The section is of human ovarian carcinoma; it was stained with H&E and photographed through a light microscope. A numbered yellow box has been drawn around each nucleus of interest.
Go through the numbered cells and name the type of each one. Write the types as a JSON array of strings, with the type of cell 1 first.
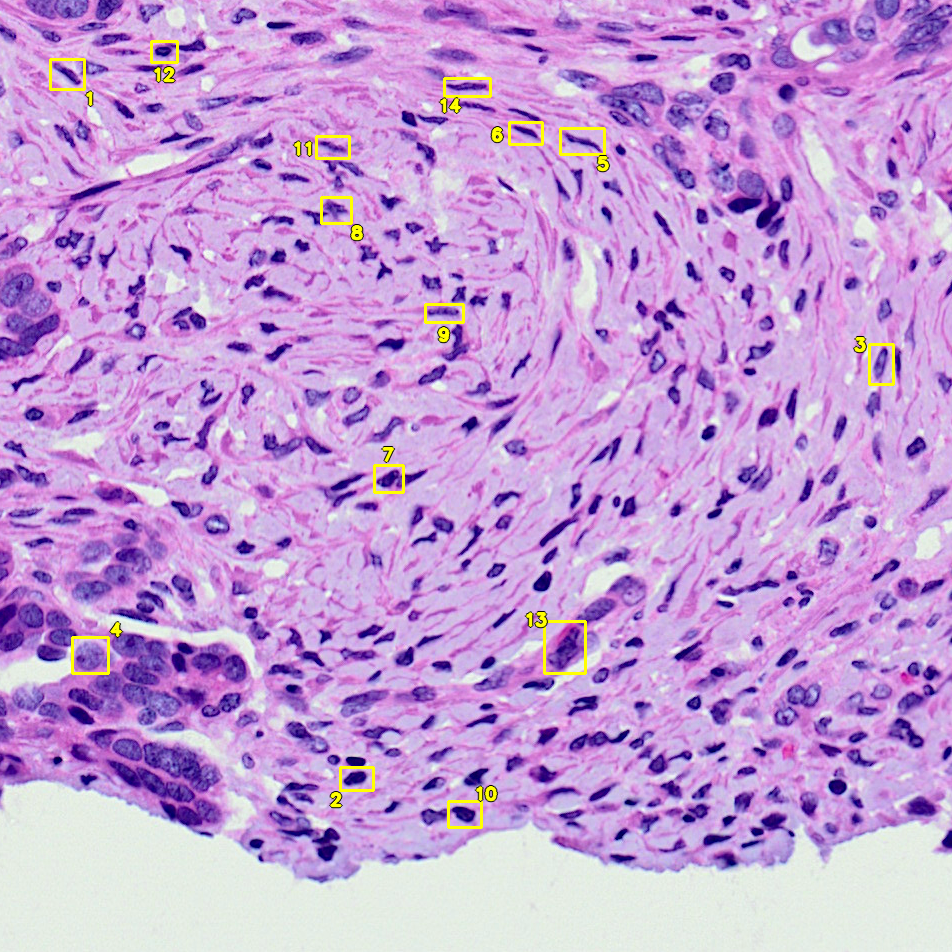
["fibroblast", "lymphocyte", "fibroblast", "carcinoma cell", "fibroblast", "fibroblast", "lymphocyte", "fibroblast", "fibroblast", "lymphocyte", "fibroblast", "lymphocyte", "endothelial cell", "fibroblast"]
